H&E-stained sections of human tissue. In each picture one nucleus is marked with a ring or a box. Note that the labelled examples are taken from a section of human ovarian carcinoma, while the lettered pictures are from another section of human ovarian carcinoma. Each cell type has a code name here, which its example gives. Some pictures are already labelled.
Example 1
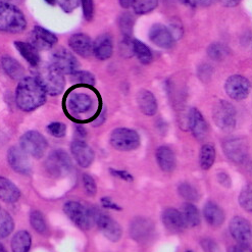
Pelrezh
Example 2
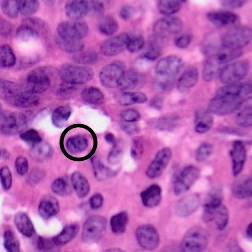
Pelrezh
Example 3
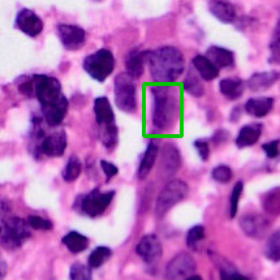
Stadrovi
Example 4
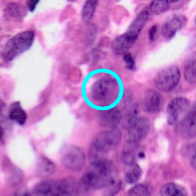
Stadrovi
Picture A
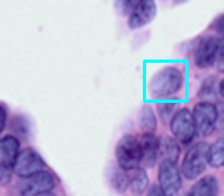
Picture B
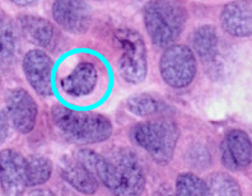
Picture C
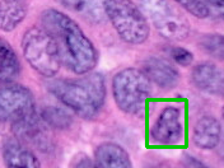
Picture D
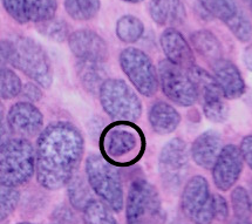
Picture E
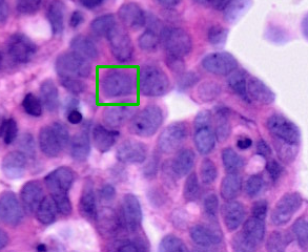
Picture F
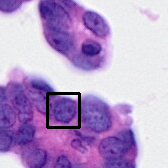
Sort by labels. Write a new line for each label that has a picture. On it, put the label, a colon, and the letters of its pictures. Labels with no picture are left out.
Pelrezh: B, C, D
Stadrovi: A, E, F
